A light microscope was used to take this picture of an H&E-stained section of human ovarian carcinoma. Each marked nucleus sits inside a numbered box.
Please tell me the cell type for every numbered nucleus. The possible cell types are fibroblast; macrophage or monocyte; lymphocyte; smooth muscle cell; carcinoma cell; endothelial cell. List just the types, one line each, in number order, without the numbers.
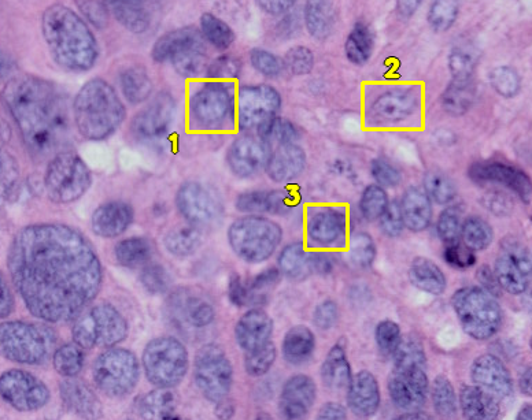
carcinoma cell
fibroblast
carcinoma cell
